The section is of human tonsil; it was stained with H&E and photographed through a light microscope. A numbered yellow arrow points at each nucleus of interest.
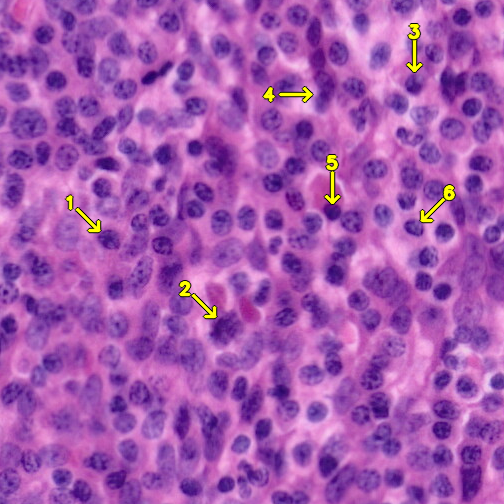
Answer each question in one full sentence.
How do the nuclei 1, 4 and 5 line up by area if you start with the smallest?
The order from the smallest nucleus to the largest is 5, 1, 4.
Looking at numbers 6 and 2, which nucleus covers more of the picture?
It is nucleus 2, which covers about 2 times the area of nucleus 6.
